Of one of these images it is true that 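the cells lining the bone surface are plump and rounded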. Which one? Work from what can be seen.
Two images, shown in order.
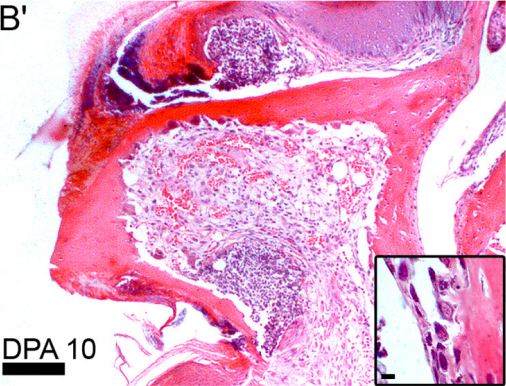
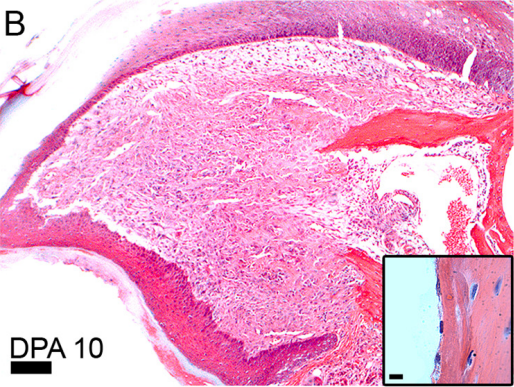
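Second image: the inset shows only a few thin, flattened nuclei along the bone surface. First image: the inset shows a row of plump cells with large rounded nuclei along the bone surface.
Conclusion: the first image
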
